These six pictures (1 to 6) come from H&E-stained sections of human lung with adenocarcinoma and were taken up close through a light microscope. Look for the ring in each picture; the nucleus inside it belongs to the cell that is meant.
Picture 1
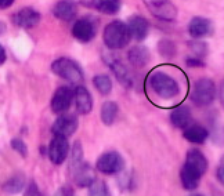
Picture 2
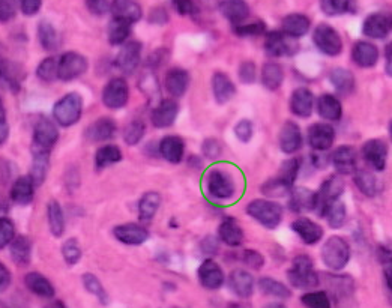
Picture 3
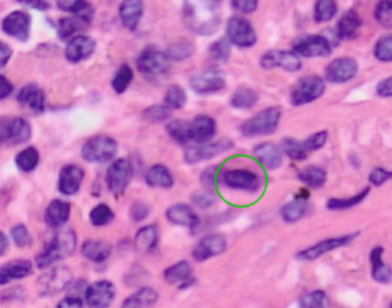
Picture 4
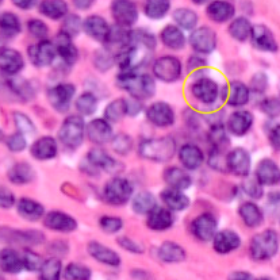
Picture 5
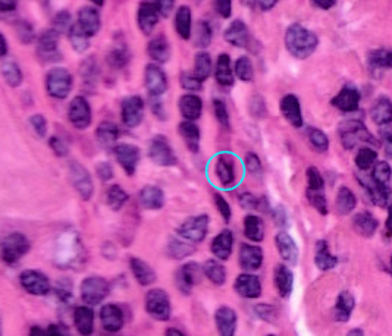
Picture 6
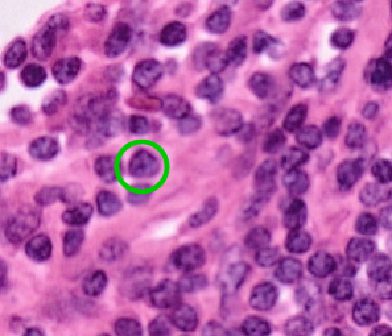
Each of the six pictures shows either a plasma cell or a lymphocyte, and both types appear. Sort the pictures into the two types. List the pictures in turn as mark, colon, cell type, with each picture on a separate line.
1: lymphocyte
2: lymphocyte
3: plasma cell
4: lymphocyte
5: plasma cell
6: lymphocyte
